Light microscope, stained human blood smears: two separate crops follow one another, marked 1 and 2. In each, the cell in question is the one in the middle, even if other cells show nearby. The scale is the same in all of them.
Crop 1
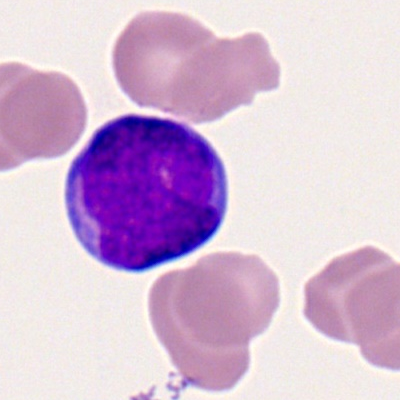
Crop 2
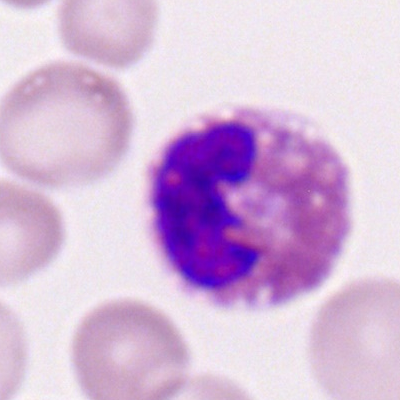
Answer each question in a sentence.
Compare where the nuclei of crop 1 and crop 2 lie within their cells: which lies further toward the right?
It is the nucleus in crop 1 that lies further toward the right of its cell.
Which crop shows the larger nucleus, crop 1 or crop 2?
The nucleus in crop 1 is larger, with about 1.5 times the area of the one in crop 2.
